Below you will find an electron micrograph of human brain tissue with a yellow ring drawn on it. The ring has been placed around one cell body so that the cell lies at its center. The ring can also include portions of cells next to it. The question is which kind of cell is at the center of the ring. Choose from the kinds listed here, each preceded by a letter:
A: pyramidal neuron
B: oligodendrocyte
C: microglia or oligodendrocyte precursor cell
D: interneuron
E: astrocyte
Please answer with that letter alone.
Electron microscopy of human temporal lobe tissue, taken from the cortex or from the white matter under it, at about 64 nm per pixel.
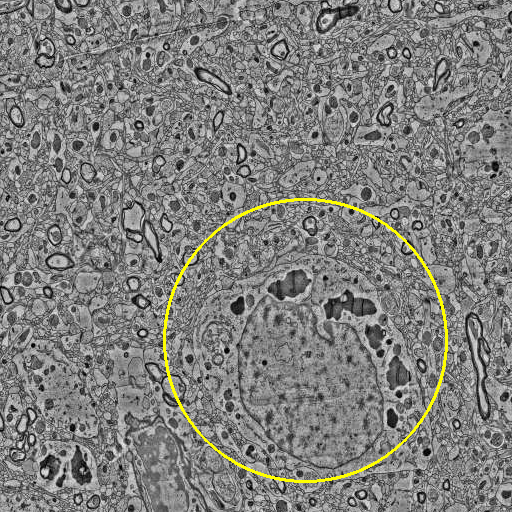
D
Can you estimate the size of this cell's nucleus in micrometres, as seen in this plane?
In this plane, the nucleus is roughly 12 by 9 micrometres.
